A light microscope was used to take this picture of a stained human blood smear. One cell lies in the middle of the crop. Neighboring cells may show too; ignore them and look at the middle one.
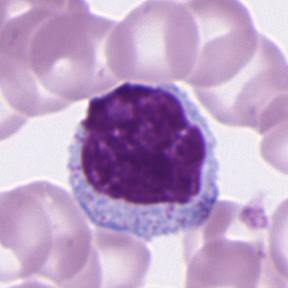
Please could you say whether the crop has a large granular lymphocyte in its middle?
no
